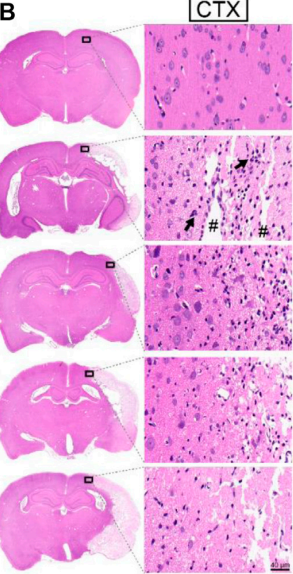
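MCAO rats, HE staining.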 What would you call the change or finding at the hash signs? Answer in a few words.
Destructive tissues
